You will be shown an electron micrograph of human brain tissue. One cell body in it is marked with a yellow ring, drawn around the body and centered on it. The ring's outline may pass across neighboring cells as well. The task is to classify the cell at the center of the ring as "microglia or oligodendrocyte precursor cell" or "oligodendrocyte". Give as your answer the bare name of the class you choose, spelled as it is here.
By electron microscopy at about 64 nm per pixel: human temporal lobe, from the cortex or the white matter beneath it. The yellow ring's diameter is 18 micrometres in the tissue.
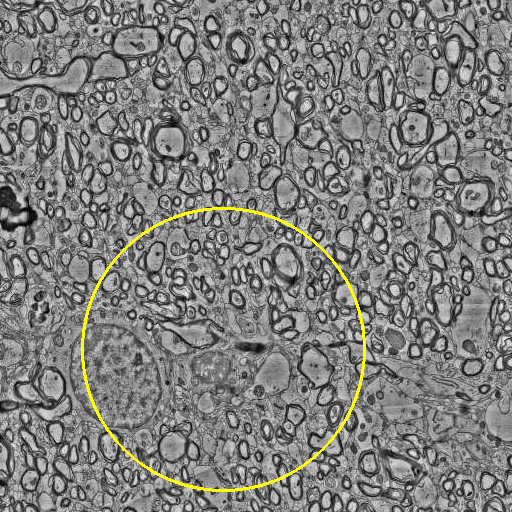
oligodendrocyte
